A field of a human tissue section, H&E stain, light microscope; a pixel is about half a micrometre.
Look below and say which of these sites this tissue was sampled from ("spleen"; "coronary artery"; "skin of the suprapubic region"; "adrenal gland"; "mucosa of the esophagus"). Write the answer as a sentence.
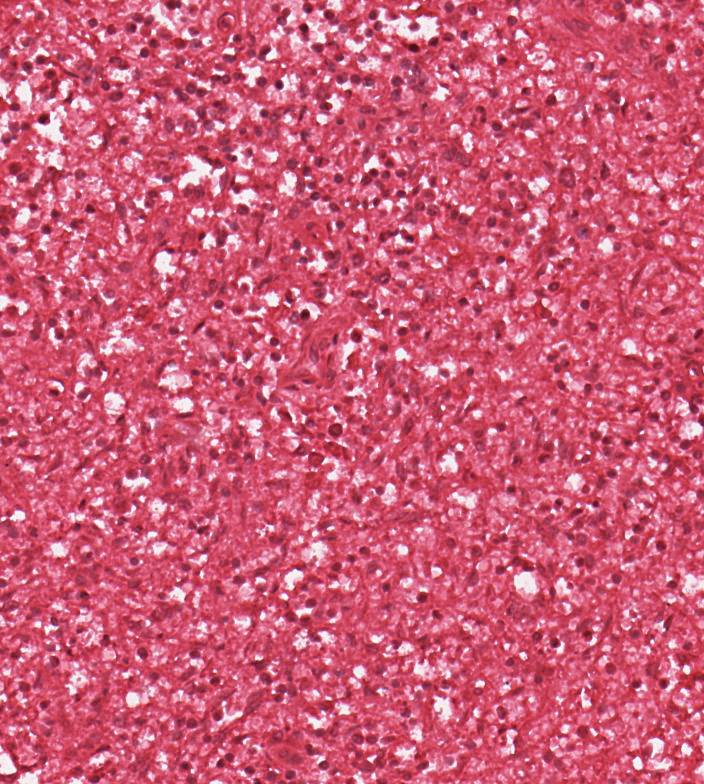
The site this tissue was sampled from is the spleen.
